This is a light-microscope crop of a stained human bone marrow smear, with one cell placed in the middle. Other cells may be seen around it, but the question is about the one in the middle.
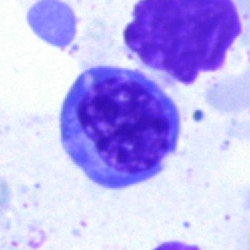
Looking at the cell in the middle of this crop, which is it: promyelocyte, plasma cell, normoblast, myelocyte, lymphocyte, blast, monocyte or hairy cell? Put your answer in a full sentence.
At the center of the crop sits a normoblast.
